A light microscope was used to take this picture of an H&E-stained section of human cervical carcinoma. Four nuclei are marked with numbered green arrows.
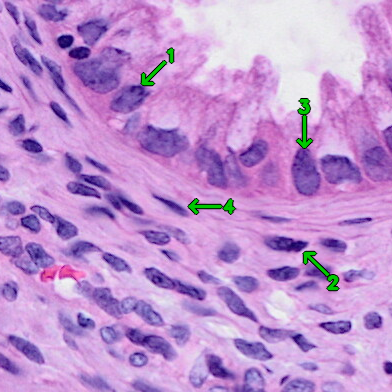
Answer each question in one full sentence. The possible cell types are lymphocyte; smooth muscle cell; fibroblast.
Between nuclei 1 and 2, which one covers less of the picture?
It is nucleus 2; nucleus 1 has about 4 times its area.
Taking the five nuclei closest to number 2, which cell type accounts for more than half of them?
The majority of the five nuclei closest to number 2 belong to fibroblasts.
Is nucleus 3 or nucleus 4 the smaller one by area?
Nucleus 4 is the smaller one; nucleus 3 covers about 3 times its area.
